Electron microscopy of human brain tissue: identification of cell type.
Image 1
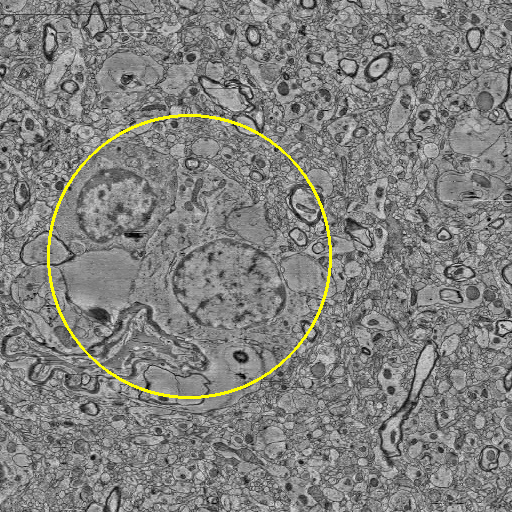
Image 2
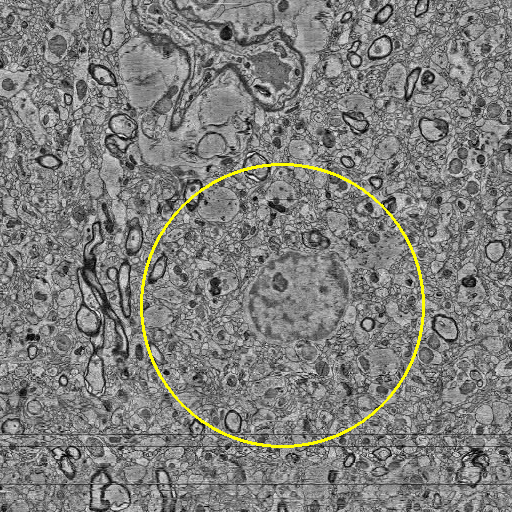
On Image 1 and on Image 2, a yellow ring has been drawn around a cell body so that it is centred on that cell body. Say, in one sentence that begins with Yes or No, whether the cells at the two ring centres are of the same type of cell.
Yes, both cells are the same type of cell.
